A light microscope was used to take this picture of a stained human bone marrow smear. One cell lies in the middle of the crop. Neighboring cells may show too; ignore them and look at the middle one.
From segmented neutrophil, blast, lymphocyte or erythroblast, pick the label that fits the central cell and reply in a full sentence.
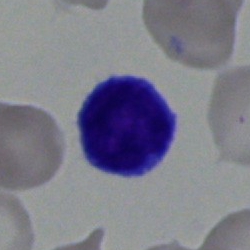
The cell featured at the centre of this crop is a lymphocyte.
